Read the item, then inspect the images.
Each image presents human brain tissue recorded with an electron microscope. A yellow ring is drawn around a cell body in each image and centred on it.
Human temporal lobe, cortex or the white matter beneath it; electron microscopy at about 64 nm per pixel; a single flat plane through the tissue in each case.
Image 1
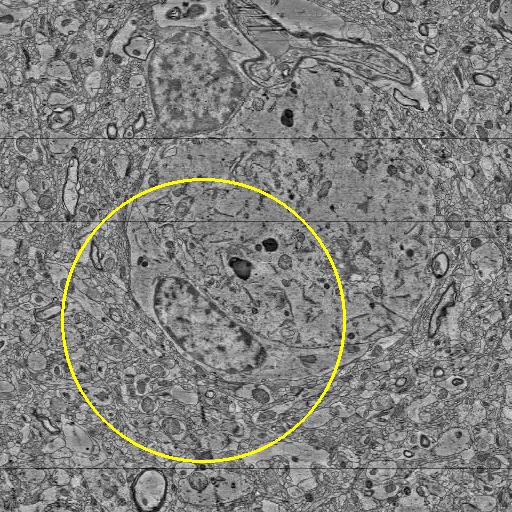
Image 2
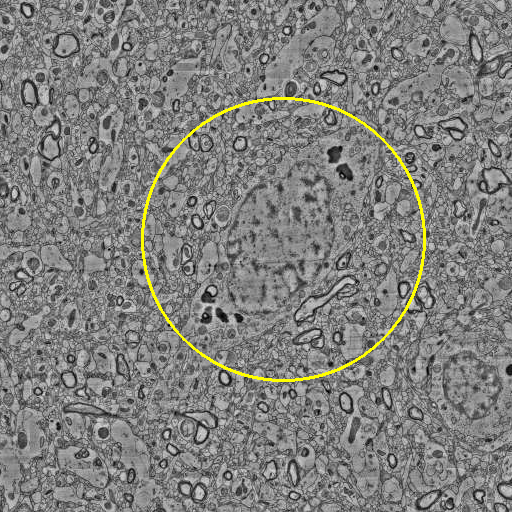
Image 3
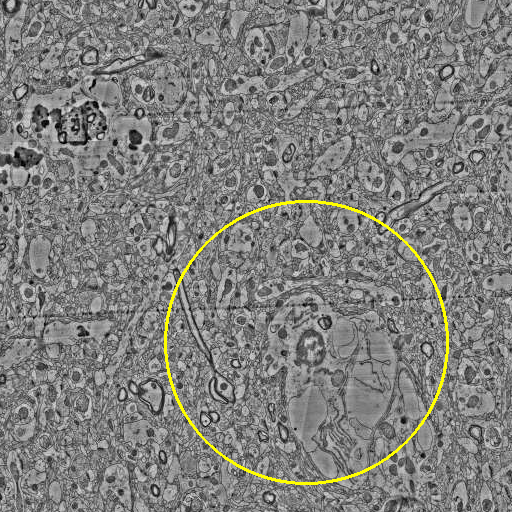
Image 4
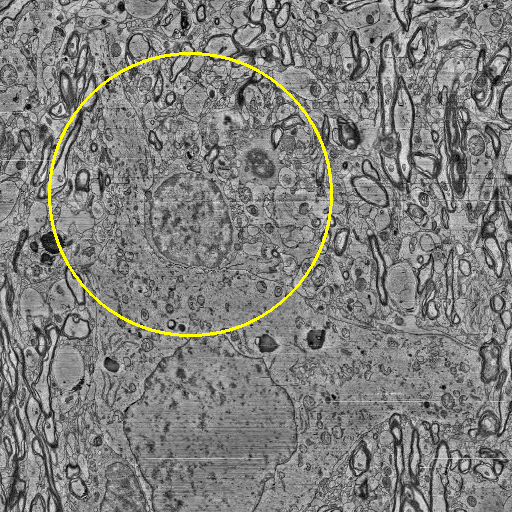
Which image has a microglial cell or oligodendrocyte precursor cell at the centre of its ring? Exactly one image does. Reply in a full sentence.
The ring in Image 1 is centred on it.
